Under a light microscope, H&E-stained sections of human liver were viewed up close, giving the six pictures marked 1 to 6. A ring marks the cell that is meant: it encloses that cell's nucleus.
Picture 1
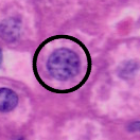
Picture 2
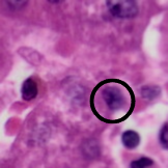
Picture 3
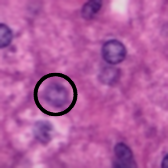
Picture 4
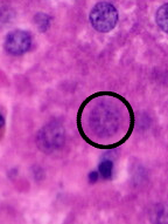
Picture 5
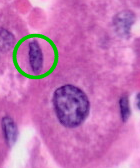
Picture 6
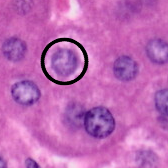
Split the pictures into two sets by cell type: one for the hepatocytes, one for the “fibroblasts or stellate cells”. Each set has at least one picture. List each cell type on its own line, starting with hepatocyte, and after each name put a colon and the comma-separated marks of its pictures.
hepatocyte: 1, 3, 4, 6
fibroblast or stellate cell: 2, 5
